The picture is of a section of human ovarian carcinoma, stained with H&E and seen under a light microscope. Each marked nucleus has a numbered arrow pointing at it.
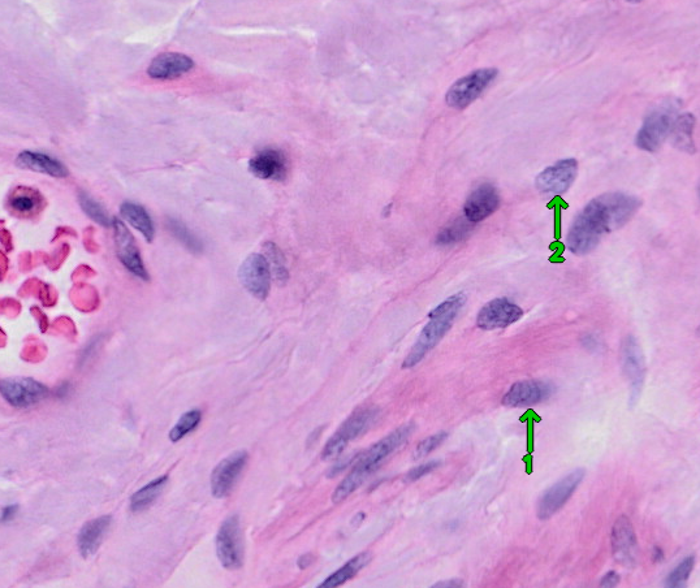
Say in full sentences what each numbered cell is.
Cell 1 is a smooth muscle cell and cell 2 is a fibroblast.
